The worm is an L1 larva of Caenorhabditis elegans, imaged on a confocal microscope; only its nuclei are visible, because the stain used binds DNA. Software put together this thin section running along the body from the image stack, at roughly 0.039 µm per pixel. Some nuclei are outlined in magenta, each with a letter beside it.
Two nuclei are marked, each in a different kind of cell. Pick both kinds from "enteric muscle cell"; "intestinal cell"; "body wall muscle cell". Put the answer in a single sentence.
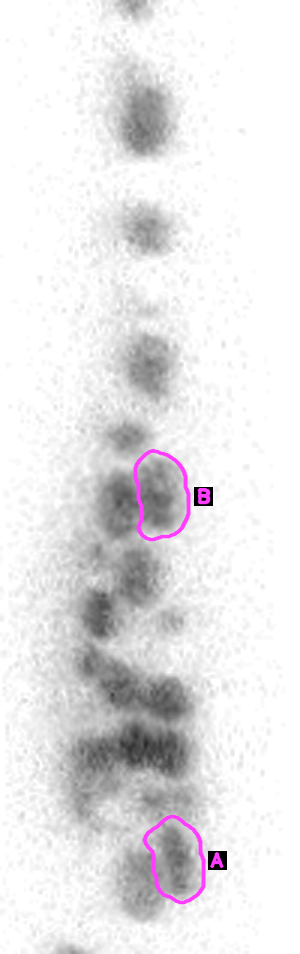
The nucleus A is that of an enteric muscle cell, while B is that of a body wall muscle cell.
